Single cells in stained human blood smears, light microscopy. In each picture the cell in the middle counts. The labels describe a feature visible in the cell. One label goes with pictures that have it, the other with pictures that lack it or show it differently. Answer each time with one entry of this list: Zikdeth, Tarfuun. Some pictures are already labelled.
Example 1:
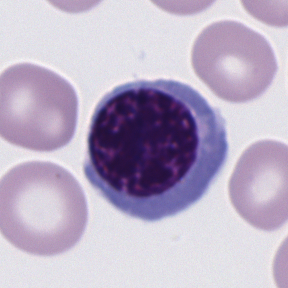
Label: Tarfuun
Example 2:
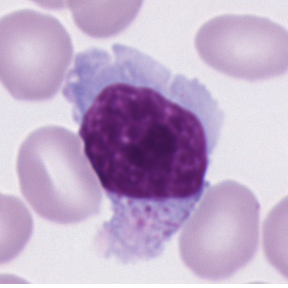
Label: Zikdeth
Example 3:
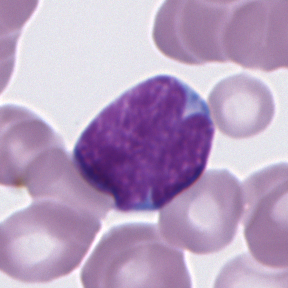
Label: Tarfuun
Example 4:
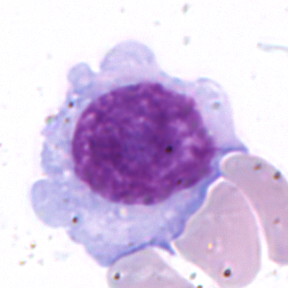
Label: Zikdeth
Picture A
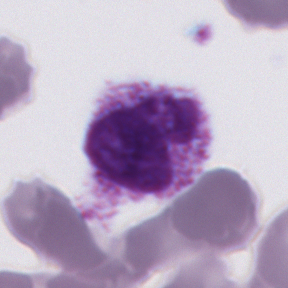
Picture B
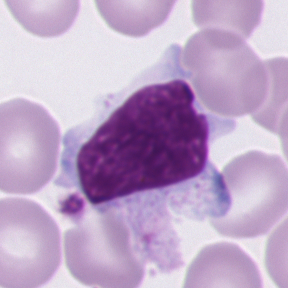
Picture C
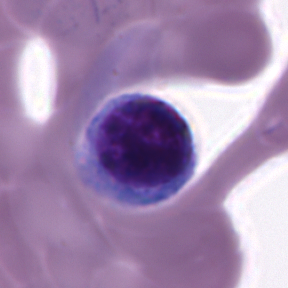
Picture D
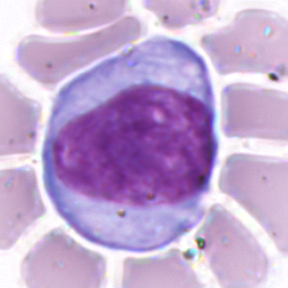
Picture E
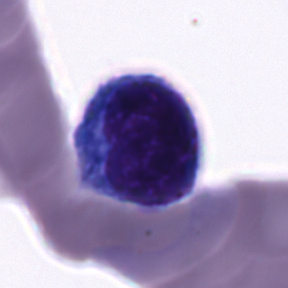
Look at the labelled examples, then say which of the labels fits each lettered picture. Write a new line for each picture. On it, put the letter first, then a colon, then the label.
A: Zikdeth
B: Zikdeth
C: Tarfuun
D: Tarfuun
E: Tarfuun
